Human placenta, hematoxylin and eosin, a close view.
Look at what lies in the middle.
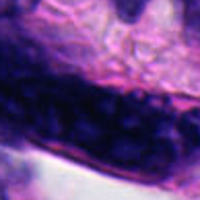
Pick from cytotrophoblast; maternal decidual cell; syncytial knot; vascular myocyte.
syncytial knot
